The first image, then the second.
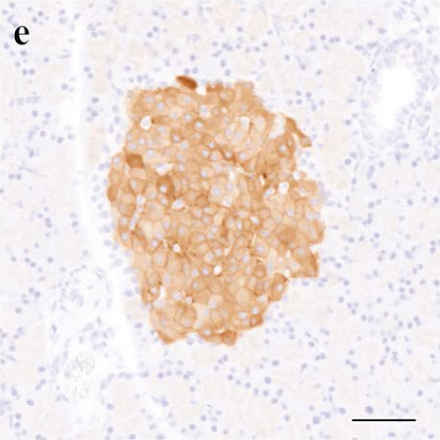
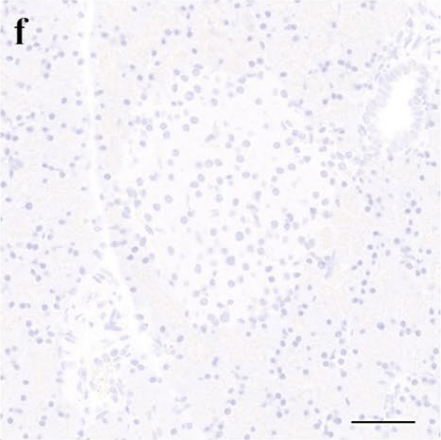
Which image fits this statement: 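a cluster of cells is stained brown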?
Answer: The first image.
